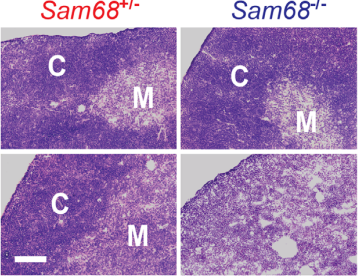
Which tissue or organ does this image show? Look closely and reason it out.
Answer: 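Densely packed, dark-purple small round cells form an outer zone. Paler, less densely cellular central zones lie within the dark zone. No glands, villi or lumens are present. That points to this answer: thymi.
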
